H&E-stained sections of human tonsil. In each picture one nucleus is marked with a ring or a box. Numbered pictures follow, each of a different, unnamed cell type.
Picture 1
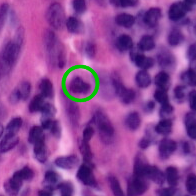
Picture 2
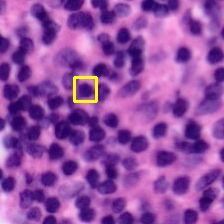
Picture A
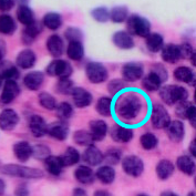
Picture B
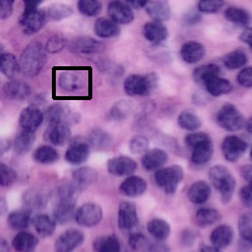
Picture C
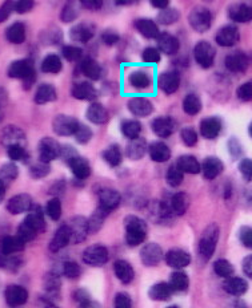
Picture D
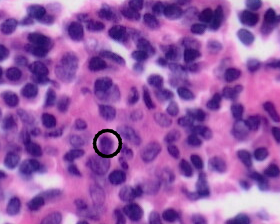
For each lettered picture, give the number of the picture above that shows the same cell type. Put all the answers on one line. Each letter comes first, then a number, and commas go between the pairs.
A 2, B 1, C 2, D 1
